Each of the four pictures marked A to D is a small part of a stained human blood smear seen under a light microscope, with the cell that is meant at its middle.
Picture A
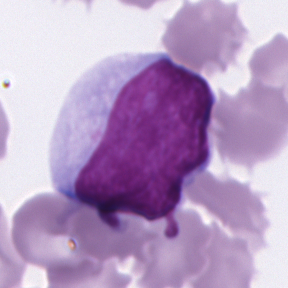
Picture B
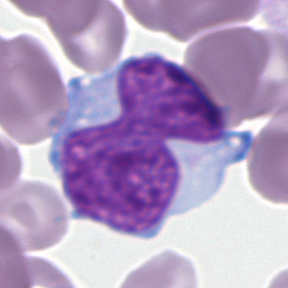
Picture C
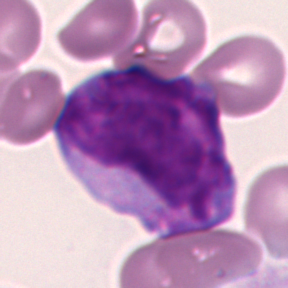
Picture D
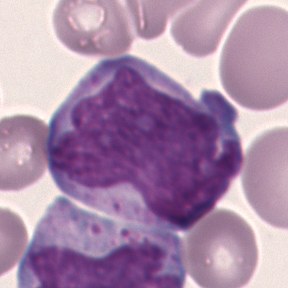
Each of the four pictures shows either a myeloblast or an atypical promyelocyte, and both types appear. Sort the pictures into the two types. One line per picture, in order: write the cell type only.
myeloblast
myeloblast
atypical promyelocyte
atypical promyelocyte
